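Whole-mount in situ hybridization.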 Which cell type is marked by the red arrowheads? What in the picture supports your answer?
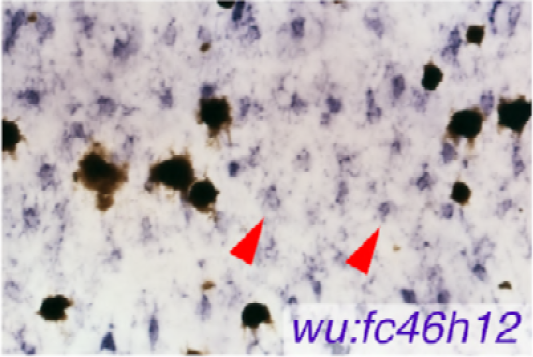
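Xanthophores. Numerous purple-stained stellate cells fill the field between brown-black pigment cells.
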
